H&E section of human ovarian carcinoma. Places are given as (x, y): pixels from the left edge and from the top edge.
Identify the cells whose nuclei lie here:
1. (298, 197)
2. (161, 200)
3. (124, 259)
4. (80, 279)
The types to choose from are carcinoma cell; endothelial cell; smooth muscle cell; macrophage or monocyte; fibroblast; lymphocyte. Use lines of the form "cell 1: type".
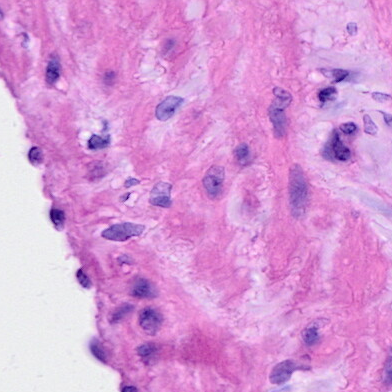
cell 1: smooth muscle cell
cell 2: smooth muscle cell
cell 3: smooth muscle cell
cell 4: endothelial cell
